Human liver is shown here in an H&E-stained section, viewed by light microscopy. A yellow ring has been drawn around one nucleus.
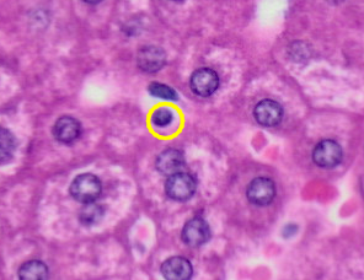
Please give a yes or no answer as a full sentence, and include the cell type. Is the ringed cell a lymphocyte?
Yes, the ringed cell represents a lymphocyte in this tissue.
